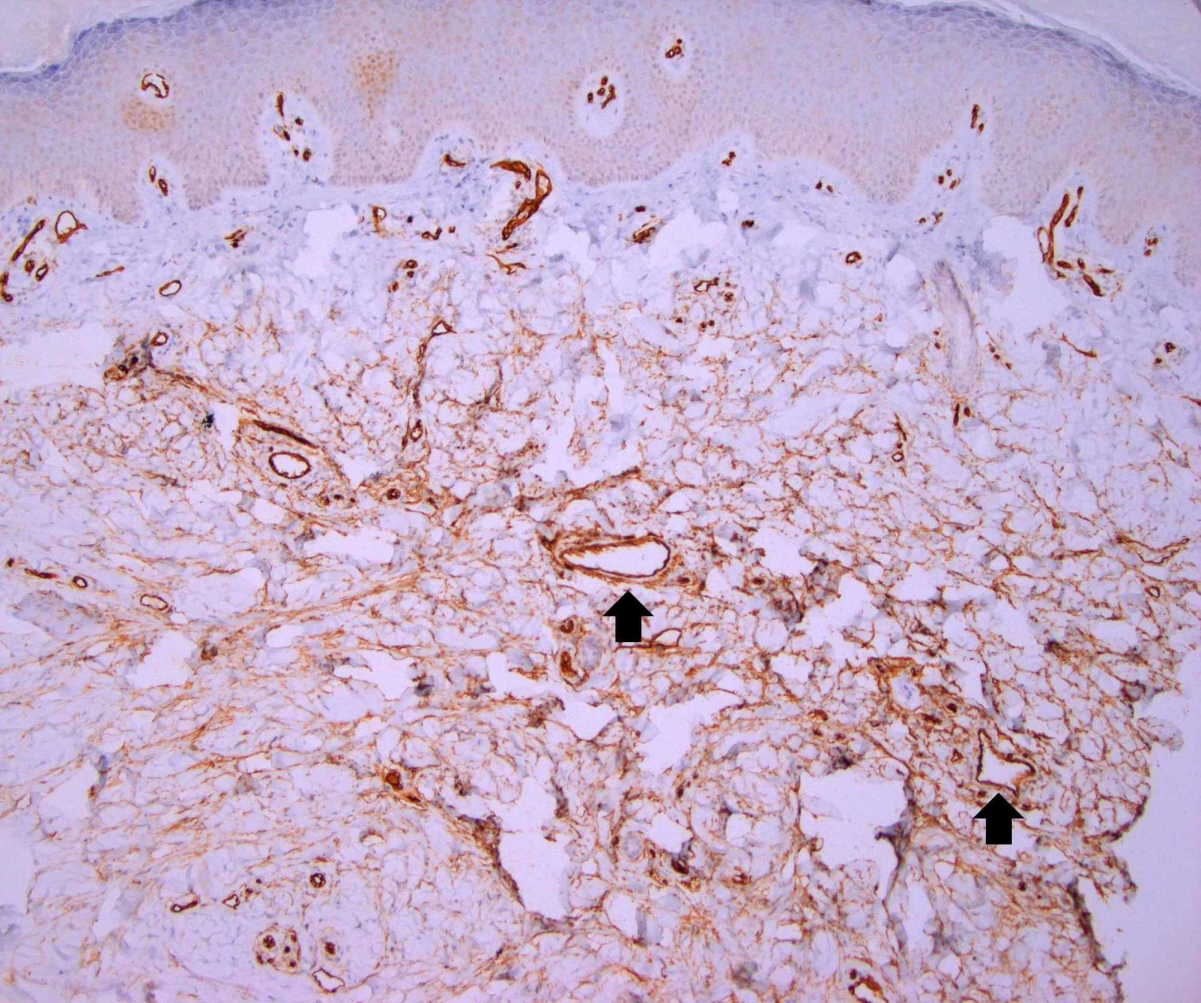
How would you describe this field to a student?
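Skin with a pale, unstained epidermis at the top and a dermis below in which a dense meshwork of thin brown-stained spindle-shaped processes, corresponding to a fibroblastic proliferation, fills the mid and deep dermis. Dermal vessels stand out as small brown rings and loops in the dermal papillae and upper dermis and as larger open lumina with a thin continuous brown lining deeper down. The papillary dermis just below the epidermis is largely pale apart from its vessels.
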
